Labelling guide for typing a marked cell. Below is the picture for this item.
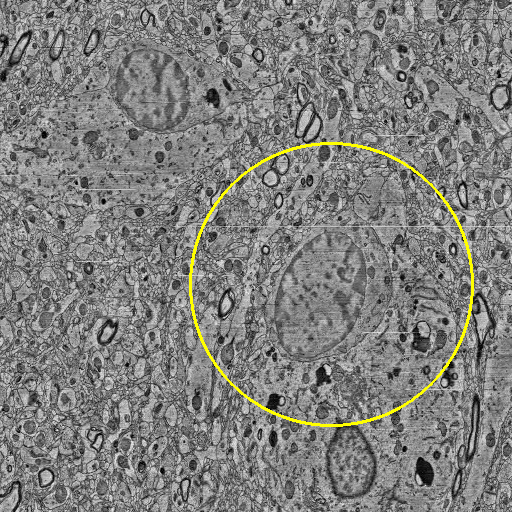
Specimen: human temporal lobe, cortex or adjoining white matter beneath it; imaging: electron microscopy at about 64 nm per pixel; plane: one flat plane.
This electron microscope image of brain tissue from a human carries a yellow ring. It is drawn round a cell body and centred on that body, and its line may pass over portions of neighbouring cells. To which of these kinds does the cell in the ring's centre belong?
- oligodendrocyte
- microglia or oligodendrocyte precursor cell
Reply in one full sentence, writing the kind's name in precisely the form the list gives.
Here we have an oligodendrocyte at the centre of the yellow ring in the picture.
